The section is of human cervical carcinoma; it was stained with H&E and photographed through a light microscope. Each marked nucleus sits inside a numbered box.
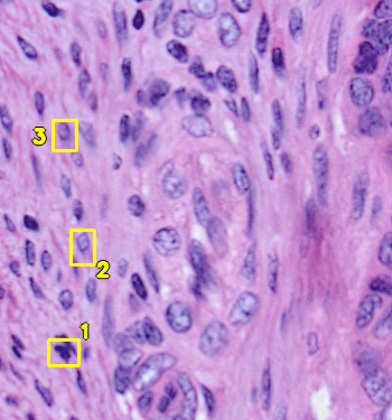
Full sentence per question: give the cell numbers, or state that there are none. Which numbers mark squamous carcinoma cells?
The numbered cells are all of types other than squamous carcinoma cells.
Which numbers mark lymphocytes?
Where the numbered cells are concerned, only number 1 is a lymphocyte.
